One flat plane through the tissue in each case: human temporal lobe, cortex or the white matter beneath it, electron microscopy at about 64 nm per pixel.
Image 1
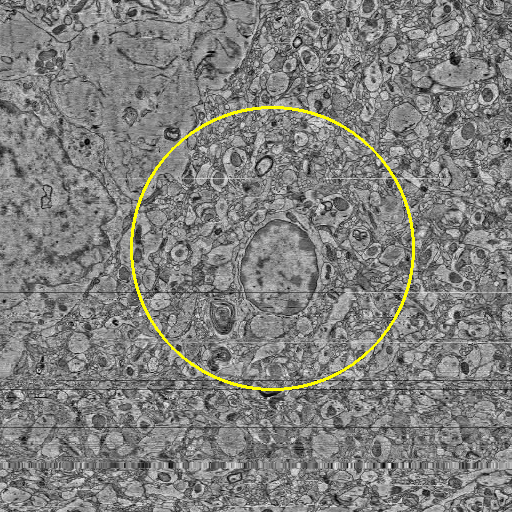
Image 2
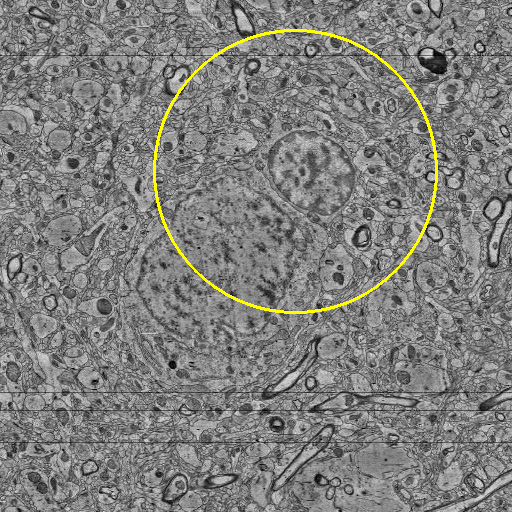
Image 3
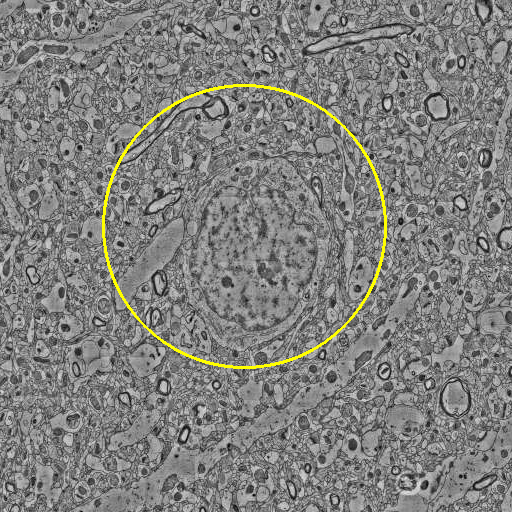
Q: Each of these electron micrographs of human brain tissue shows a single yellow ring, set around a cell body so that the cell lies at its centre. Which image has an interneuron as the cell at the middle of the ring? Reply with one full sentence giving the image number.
In image 3, the cell lying at the ring's centre is the requested one.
